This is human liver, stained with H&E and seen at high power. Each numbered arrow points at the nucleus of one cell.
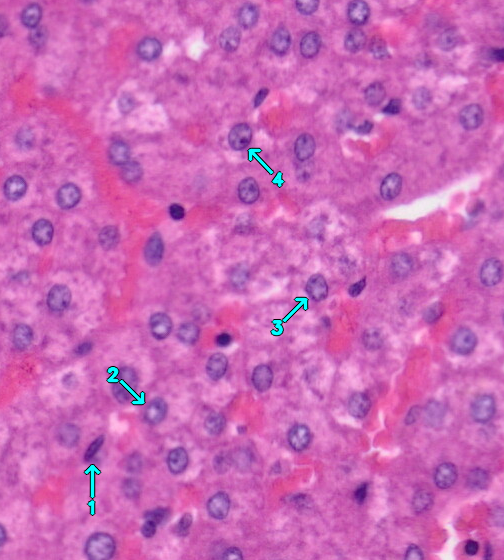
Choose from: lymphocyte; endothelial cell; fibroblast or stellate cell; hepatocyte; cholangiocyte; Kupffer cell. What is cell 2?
hepatocyte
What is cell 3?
hepatocyte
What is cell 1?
fibroblast or stellate cell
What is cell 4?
hepatocyte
